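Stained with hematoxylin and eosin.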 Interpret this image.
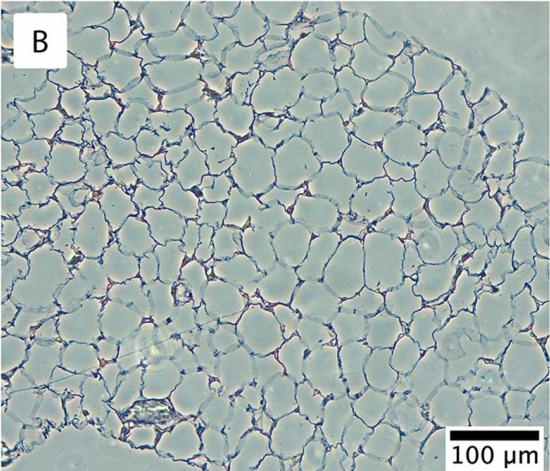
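A lobule of closely packed, polygonal adipocytes that are small and fairly even in size, each a clear space framed by a thin purple-blue septum. Small dark nuclei and bits of pink-purple cytoplasm and stroma lie scattered in the angles between the cells.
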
